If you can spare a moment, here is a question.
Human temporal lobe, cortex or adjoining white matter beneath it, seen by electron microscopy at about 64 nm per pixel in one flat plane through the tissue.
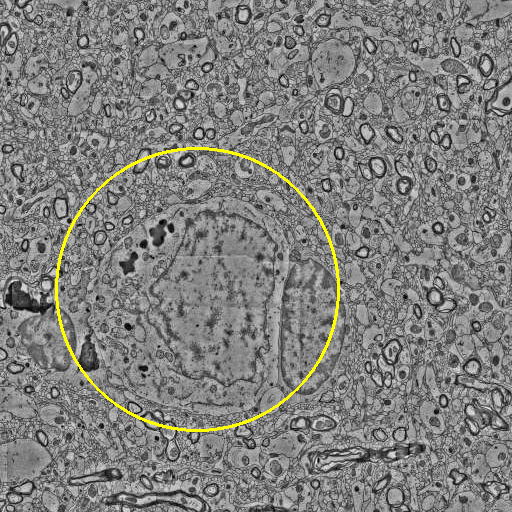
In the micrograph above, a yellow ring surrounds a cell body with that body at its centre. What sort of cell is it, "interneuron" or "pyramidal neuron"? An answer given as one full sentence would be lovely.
Centred inside the yellow ring, the cell body shown belongs to an interneuron in this micrograph.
